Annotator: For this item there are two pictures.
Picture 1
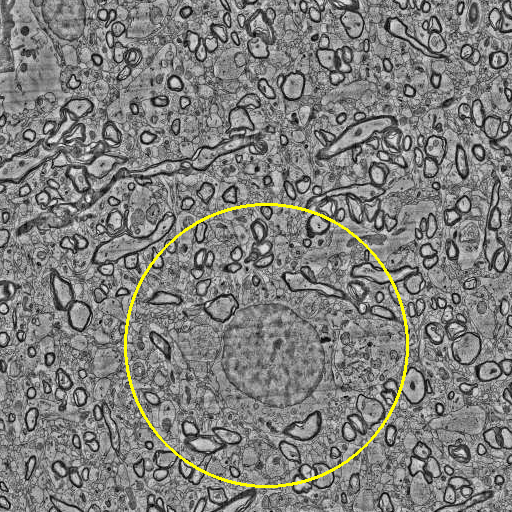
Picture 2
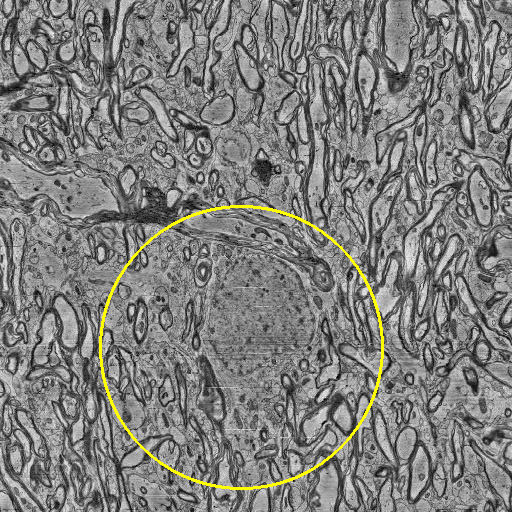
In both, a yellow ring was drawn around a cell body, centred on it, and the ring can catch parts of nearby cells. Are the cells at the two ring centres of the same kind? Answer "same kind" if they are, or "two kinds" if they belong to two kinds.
two kinds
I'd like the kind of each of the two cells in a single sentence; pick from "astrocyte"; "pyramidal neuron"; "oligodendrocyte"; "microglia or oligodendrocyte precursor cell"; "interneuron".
The first ring marks an oligodendrocyte, and the second ring marks an astrocyte.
